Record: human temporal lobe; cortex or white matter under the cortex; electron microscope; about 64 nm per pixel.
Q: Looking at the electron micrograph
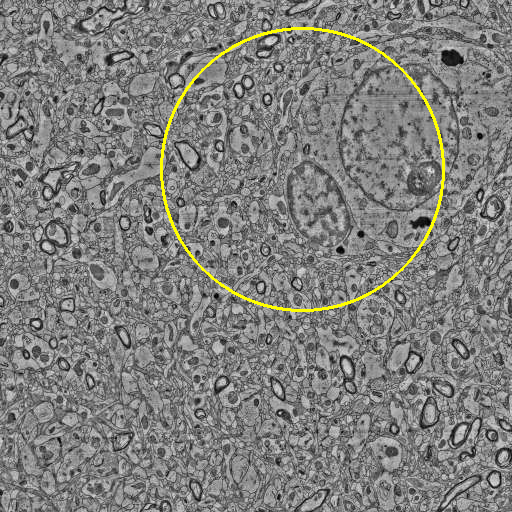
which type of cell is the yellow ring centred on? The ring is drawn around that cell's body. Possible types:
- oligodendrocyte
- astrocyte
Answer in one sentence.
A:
The yellow ring is centred on an oligodendrocyte.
